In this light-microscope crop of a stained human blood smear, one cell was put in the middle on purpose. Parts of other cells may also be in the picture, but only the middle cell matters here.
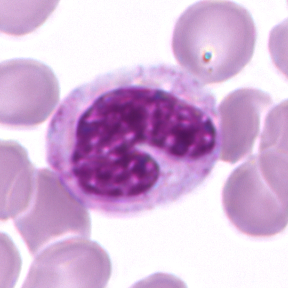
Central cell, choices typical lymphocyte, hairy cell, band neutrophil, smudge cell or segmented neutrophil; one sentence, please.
Standing at the centre of this crop is a band neutrophil.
